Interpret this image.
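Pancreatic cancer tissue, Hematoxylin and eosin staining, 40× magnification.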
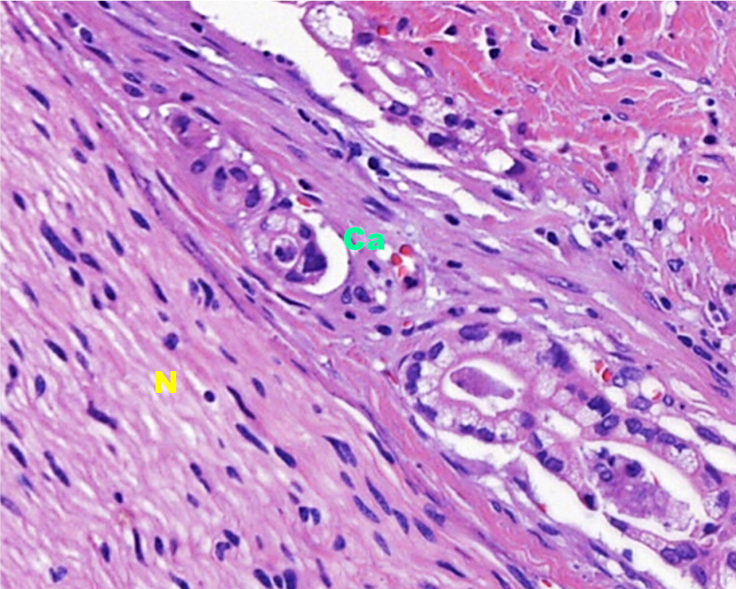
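On the left, the nerve is made of pale pink, wavy fibres with slender, elongated dark nuclei aligned in one direction. Along its border, small irregular glands are lined by cells with enlarged, crowded, dark-purple nuclei and pale, vacuolated cytoplasm around narrow lumens.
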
